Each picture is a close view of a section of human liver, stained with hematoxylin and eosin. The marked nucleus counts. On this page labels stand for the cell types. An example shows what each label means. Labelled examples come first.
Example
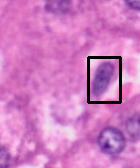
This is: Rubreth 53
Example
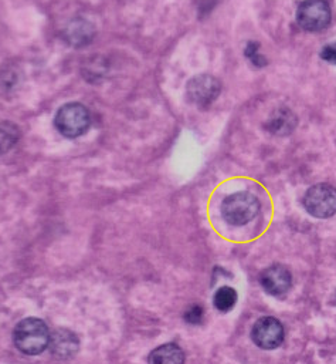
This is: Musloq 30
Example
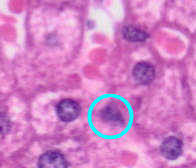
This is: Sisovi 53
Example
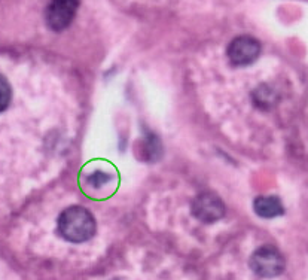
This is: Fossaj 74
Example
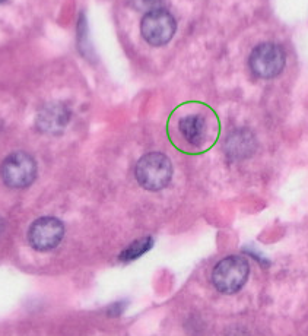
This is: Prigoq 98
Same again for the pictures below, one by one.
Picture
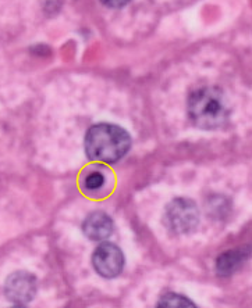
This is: Fossaj 74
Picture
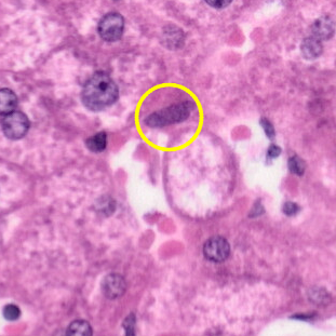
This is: Rubreth 53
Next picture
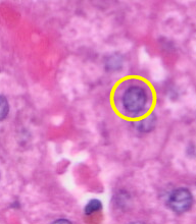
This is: Musloq 30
